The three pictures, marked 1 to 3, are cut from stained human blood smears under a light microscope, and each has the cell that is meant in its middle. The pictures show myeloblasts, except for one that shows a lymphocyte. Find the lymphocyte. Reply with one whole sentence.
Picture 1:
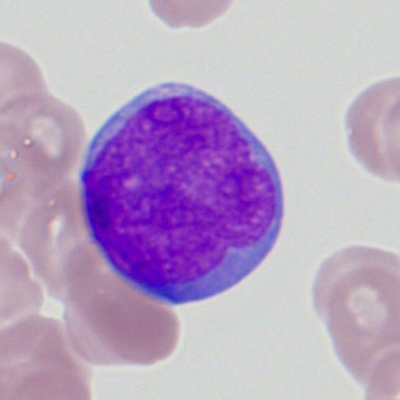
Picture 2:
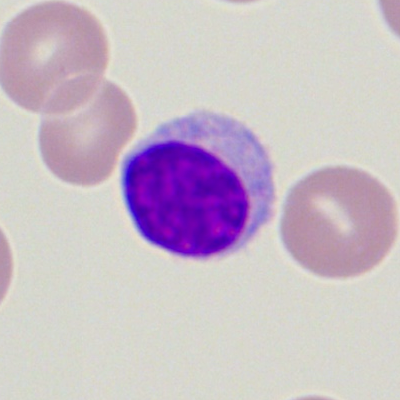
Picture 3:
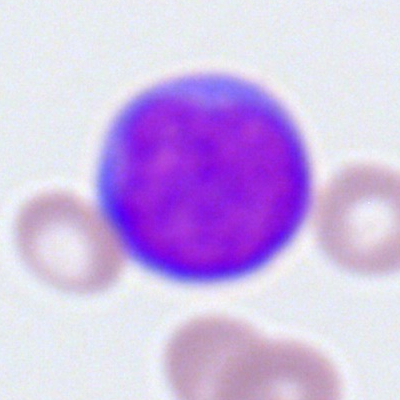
It is picture 2 that shows the lymphocyte.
